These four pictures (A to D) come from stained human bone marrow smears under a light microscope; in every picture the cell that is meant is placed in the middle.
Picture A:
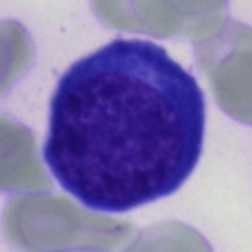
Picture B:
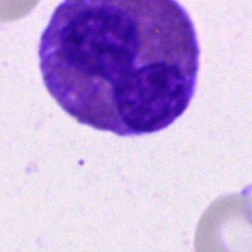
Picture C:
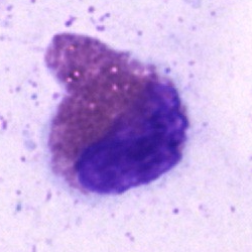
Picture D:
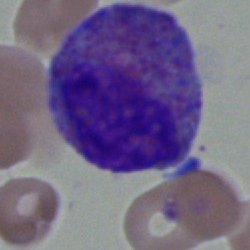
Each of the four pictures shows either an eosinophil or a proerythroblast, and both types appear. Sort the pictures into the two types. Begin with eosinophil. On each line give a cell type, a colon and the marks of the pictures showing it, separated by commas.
eosinophil: B, C, D
proerythroblast: A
